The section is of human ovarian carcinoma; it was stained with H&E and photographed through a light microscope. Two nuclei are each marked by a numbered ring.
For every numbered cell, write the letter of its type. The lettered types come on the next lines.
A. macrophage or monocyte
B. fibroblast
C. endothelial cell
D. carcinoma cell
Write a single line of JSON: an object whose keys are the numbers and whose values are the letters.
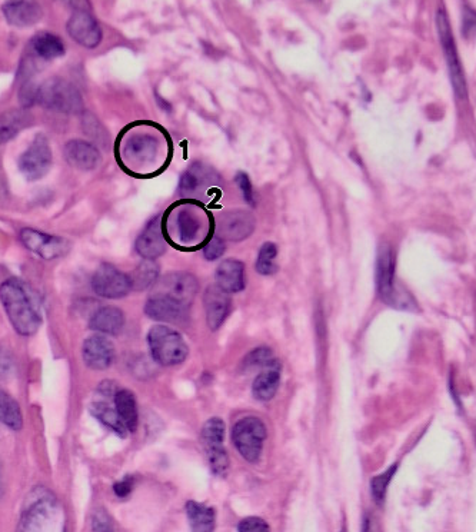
{"1": "A", "2": "D"}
